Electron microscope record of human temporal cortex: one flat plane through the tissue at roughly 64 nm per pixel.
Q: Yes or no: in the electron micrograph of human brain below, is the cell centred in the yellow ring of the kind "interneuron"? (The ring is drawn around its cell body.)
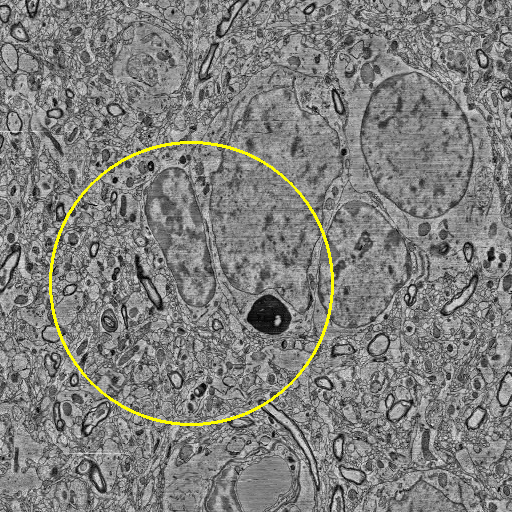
no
